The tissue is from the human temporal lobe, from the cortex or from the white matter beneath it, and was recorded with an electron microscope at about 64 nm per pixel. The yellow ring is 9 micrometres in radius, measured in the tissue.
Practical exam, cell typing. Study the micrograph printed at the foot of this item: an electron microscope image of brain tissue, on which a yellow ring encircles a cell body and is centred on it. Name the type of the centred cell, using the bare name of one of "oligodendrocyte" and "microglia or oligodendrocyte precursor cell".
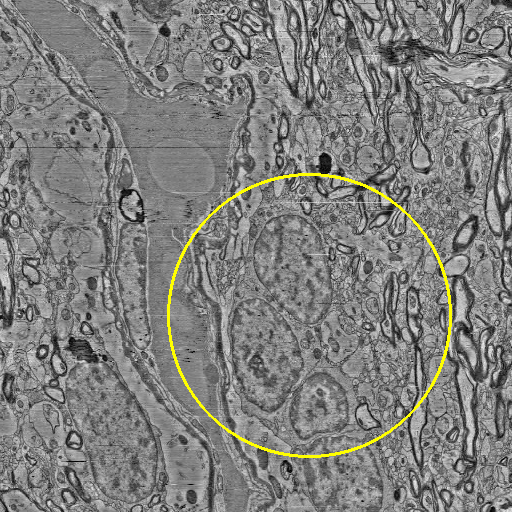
oligodendrocyte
